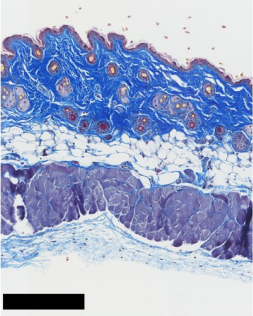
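This section of skin has a thin pink epidermis, only a few cells thick, at the surface. Beneath it, dense blue-stained collagen fills the dermis, which holds numerous hair follicles with reddish hair shafts. A layer of fat cells, seen as white empty spaces, lies under the dermis. Below that is a band of purple skeletal muscle fibres, with loose blue connective tissue at the bottom.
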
